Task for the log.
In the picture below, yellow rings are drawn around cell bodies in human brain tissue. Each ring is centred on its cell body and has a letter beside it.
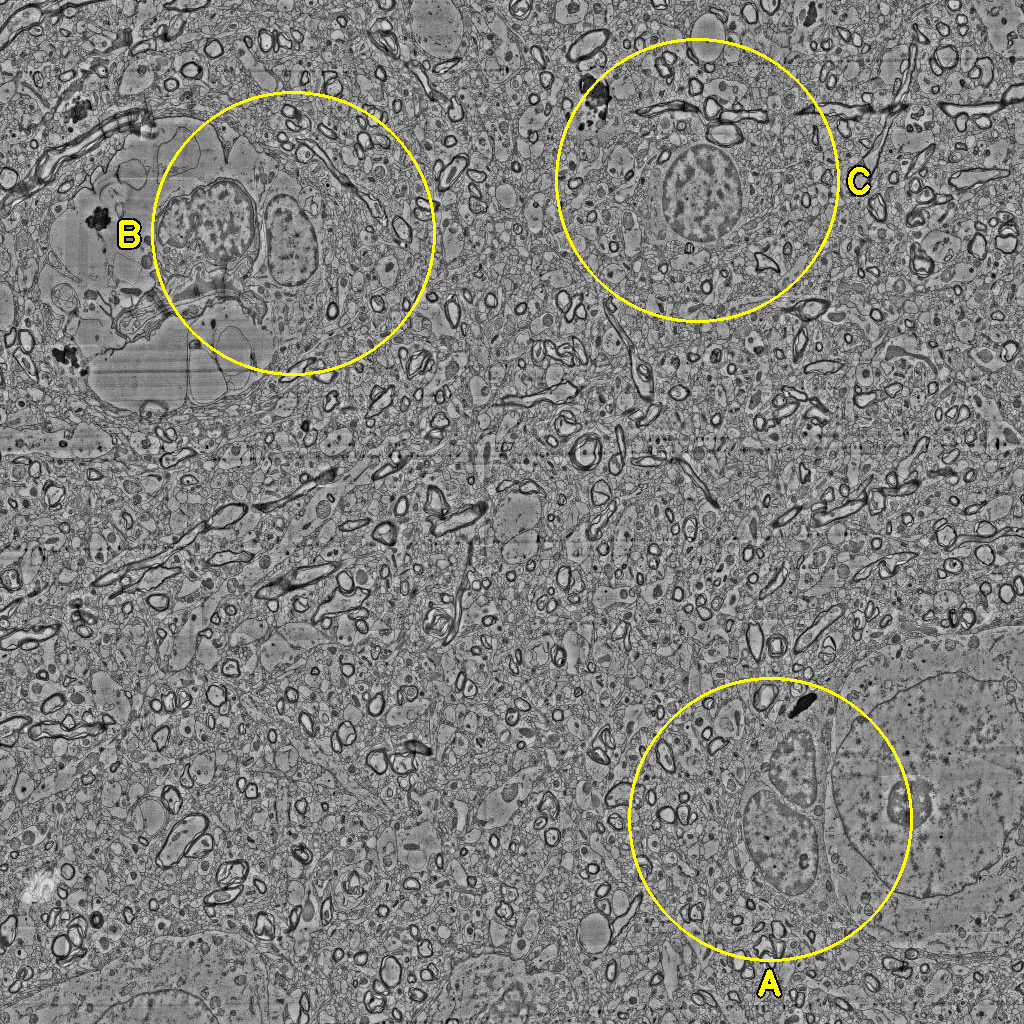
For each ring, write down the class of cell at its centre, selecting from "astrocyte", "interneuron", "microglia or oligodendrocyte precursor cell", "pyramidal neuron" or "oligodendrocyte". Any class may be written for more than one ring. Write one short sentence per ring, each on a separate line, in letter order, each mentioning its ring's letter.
The cell inside ring A, at its centre, is an oligodendrocyte.
The cell inside ring B, at its centre, is a microglial cell or oligodendrocyte precursor cell.
The cell inside ring C, at its centre, is an oligodendrocyte.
